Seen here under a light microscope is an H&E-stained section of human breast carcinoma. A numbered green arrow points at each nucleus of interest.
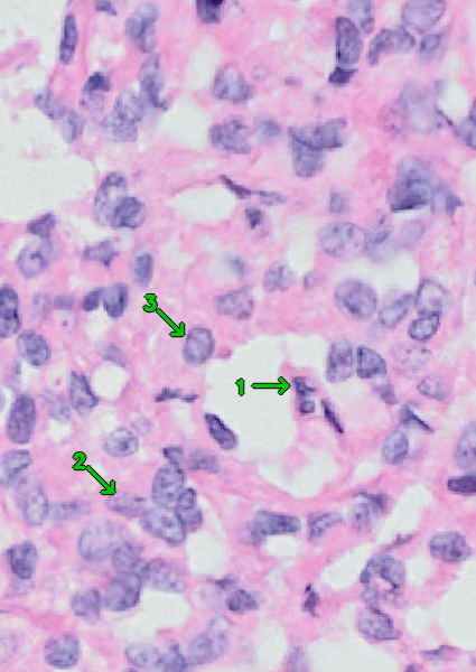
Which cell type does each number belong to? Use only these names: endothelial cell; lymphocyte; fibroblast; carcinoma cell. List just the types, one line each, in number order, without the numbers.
endothelial cell
carcinoma cell
carcinoma cell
